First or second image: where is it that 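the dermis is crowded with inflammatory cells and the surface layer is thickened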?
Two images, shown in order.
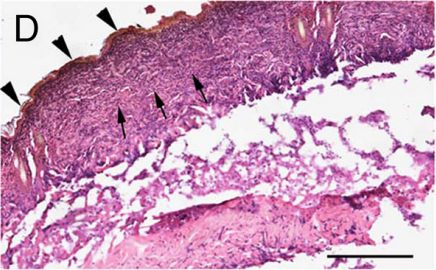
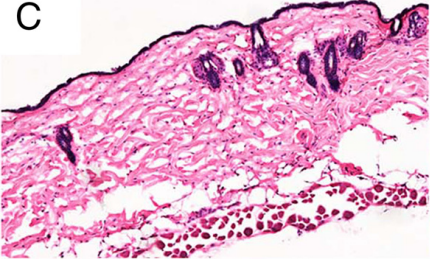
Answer: the first image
